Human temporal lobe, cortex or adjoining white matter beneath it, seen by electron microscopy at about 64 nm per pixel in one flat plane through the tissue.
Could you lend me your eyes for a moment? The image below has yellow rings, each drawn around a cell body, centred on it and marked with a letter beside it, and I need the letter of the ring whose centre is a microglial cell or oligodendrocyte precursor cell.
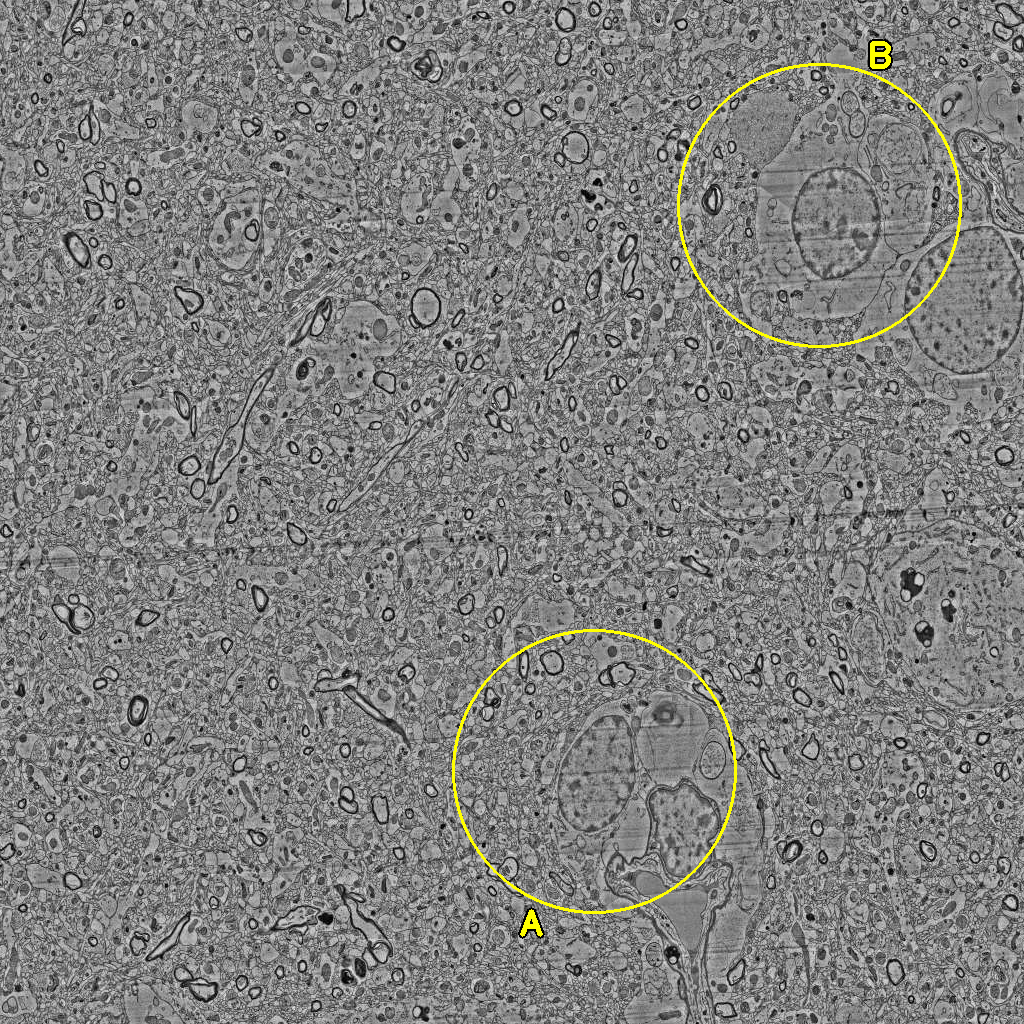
A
